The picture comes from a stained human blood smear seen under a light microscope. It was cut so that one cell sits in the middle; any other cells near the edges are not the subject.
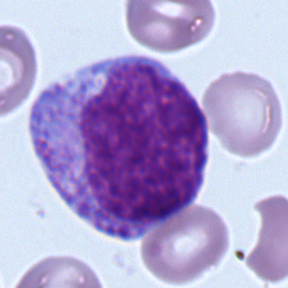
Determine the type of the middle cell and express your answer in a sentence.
Centrally within this crop lies a promyelocyte.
